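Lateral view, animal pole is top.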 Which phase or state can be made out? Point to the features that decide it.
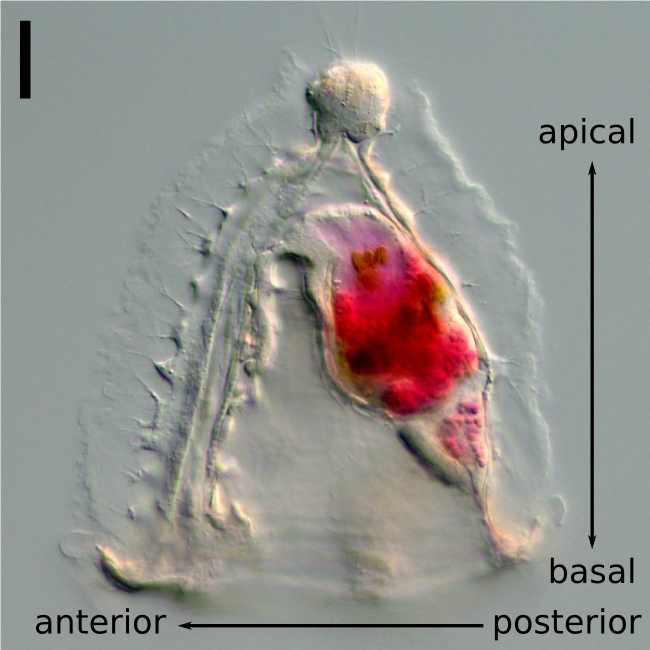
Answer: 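Cyphonautes. Triangular, largely transparent larval body. Rounded knob with a tuft of long cilia at the apex.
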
